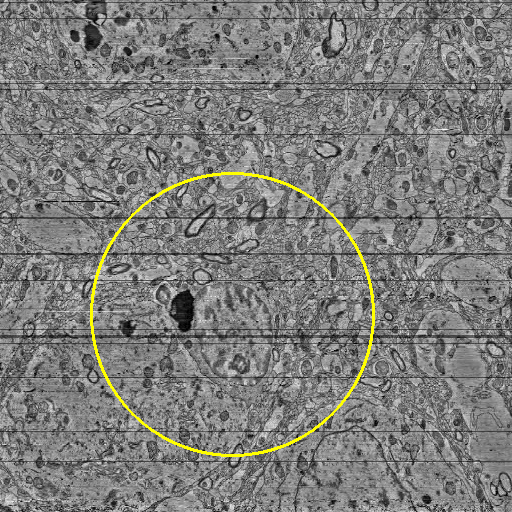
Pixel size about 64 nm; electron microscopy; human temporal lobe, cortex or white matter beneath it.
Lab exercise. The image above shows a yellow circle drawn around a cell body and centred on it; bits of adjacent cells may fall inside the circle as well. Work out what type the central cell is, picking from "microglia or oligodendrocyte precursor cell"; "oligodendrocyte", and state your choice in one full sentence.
In the image above, the cell at the centre of the yellow circle is an oligodendrocyte.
